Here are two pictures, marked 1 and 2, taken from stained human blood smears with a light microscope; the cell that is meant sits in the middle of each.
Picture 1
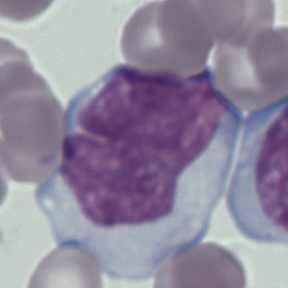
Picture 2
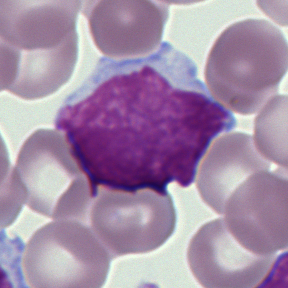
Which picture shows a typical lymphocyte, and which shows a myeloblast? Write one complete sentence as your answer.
It is picture 1 that shows a myeloblast, and picture 2 that shows a typical lymphocyte.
